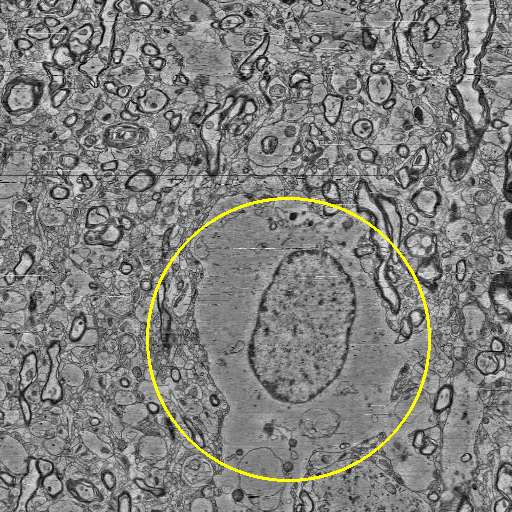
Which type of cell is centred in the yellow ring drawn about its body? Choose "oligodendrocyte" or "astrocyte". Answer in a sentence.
The yellow ring surrounds the cell body of an astrocyte.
